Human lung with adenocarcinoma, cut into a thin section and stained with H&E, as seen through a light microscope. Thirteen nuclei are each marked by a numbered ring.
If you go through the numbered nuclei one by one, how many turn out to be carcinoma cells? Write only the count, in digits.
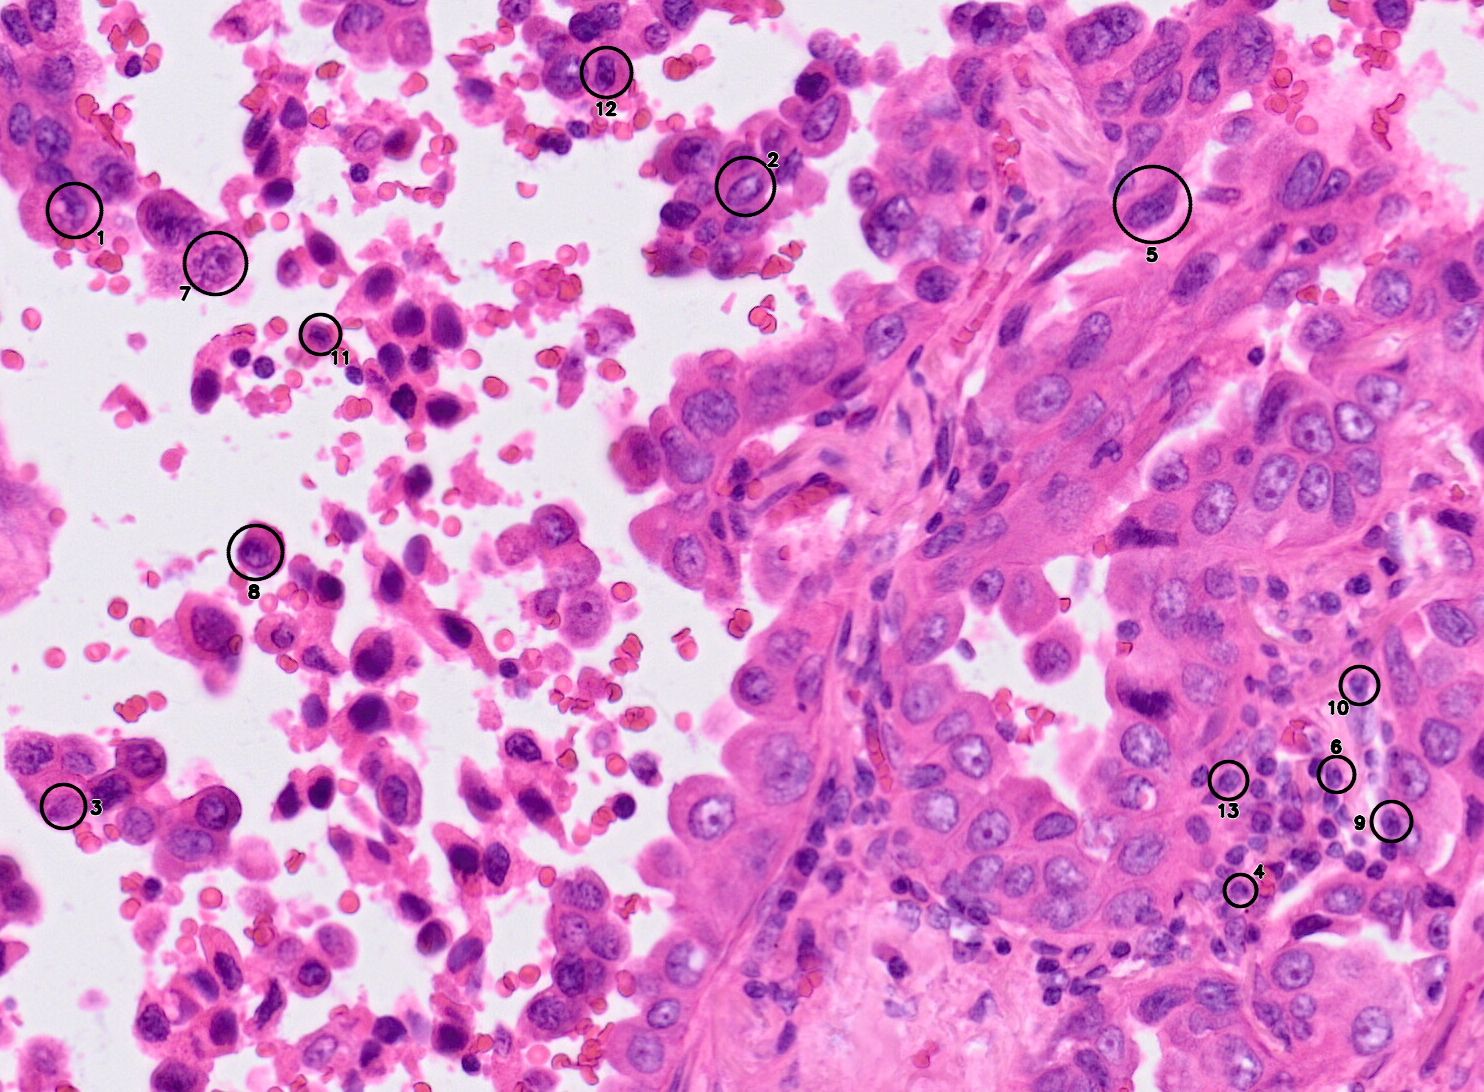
7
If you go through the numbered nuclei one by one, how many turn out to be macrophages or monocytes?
1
